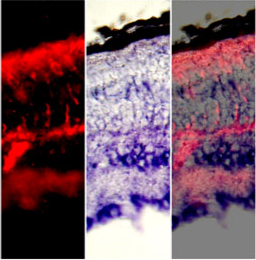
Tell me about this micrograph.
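A vertical section through the retina shows its layers in three matching strips, with dark pigment at the outer edge. Beneath it lies the band of outer segments, then a thick outer nuclear layer of small crowded nuclei, a narrower inner nuclear layer, a pale plexiform layer and an innermost row of large cells.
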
